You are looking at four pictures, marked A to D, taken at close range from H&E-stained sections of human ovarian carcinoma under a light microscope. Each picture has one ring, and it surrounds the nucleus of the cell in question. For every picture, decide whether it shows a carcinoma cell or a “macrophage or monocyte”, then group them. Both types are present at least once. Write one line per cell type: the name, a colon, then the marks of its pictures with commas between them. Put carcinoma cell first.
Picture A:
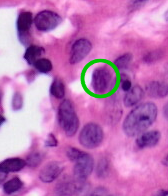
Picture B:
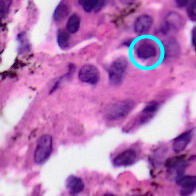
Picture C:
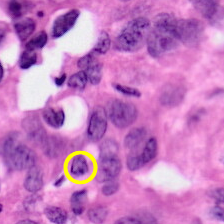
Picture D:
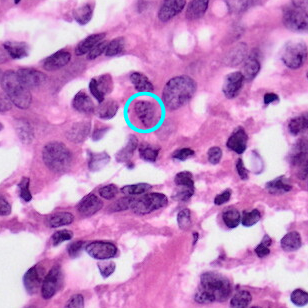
carcinoma cell: A, B, D
macrophage or monocyte: C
